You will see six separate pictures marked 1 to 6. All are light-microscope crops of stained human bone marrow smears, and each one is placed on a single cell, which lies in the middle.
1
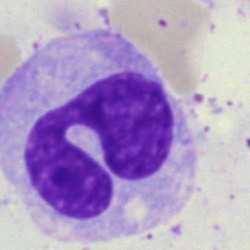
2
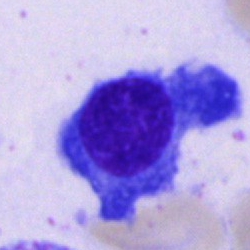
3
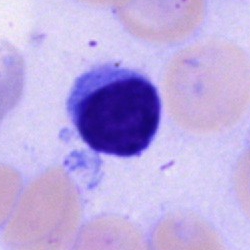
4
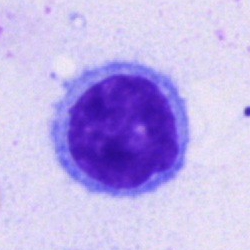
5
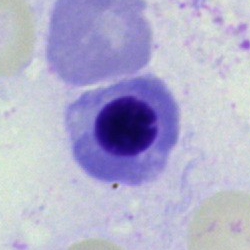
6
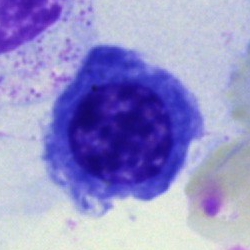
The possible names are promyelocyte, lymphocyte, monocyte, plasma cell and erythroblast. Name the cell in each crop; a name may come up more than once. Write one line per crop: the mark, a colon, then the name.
1: monocyte
2: plasma cell
3: lymphocyte
4: lymphocyte
5: erythroblast
6: erythroblast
